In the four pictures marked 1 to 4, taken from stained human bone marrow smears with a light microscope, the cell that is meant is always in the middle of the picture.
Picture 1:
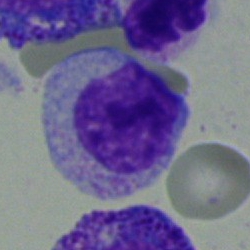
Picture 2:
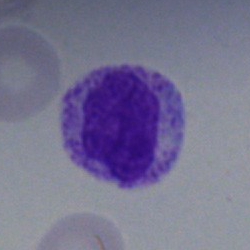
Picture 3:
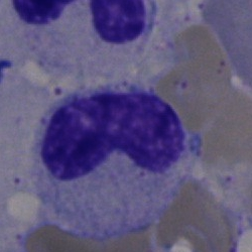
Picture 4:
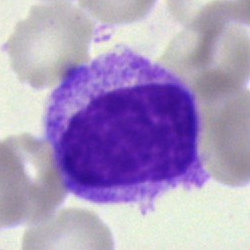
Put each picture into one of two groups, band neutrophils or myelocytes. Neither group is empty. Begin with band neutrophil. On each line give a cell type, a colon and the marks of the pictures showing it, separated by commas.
band neutrophil: 3
myelocyte: 1, 2, 4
